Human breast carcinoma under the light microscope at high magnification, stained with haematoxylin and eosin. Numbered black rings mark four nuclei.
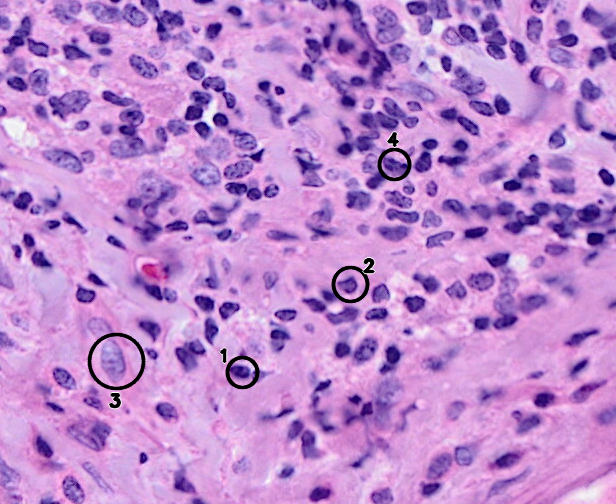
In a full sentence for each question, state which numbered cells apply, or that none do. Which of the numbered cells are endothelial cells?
The cell marked by number 3 is an endothelial cell; the other marked cells are not.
